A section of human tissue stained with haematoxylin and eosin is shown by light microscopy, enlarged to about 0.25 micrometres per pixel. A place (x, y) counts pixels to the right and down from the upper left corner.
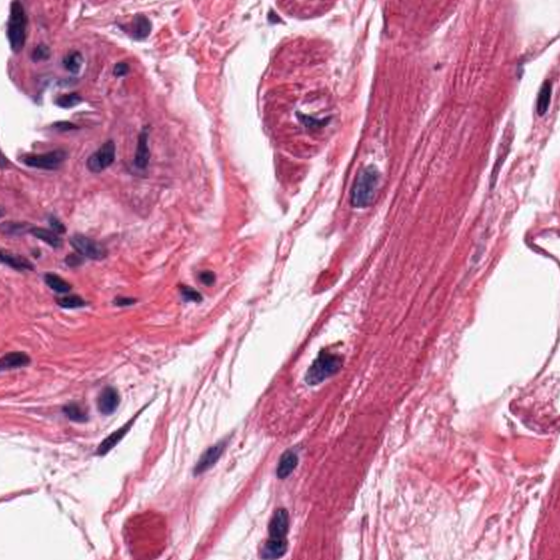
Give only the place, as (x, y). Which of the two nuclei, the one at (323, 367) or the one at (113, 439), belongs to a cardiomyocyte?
(323, 367)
